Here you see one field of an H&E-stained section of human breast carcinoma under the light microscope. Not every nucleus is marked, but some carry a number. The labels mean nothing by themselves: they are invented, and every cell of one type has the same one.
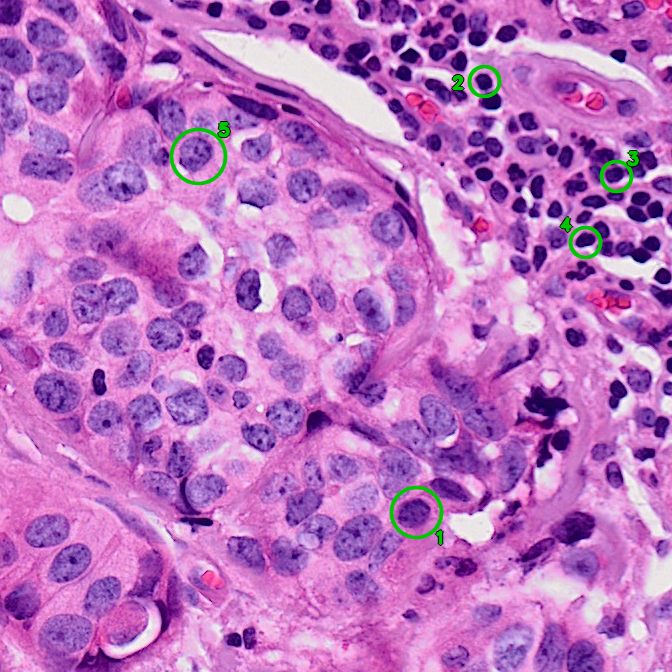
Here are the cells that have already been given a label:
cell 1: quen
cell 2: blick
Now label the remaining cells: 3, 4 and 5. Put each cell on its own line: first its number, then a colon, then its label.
3: blick
4: blick
5: quen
